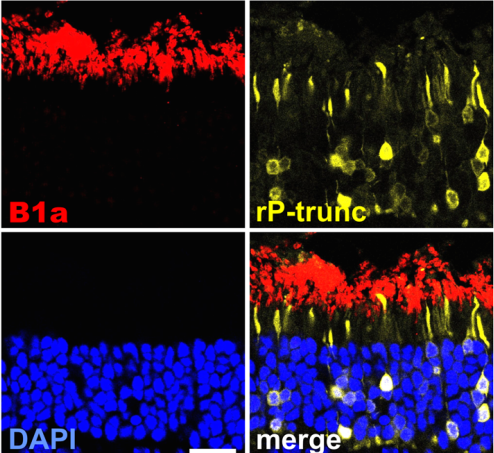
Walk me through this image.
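This is a retinal section through the photoreceptor layers, with densely packed blue nuclei of the outer nuclear layer below and a thick red band of outer segments above. Scattered photoreceptors are filled with yellow in their cell bodies among the nuclei and in thin columns running up toward the red band. The yellow stays largely below the red band, so it lies in inner segments and somata rather than in the outer segments.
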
